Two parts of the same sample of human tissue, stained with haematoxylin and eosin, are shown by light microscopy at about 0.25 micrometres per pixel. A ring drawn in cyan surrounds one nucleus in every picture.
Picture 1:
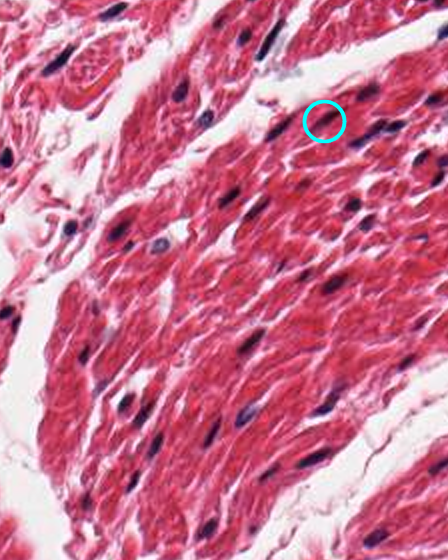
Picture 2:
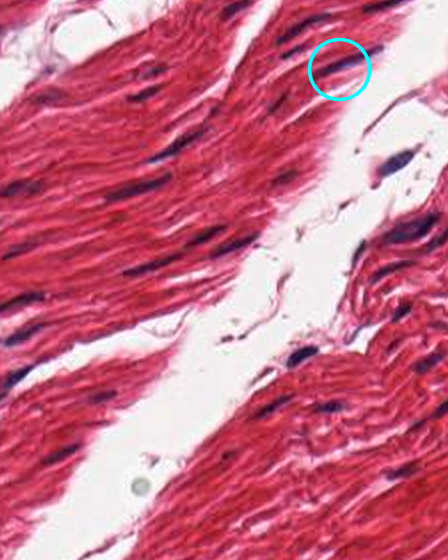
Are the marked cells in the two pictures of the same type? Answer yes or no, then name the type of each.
Yes, both are smooth muscle cells.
